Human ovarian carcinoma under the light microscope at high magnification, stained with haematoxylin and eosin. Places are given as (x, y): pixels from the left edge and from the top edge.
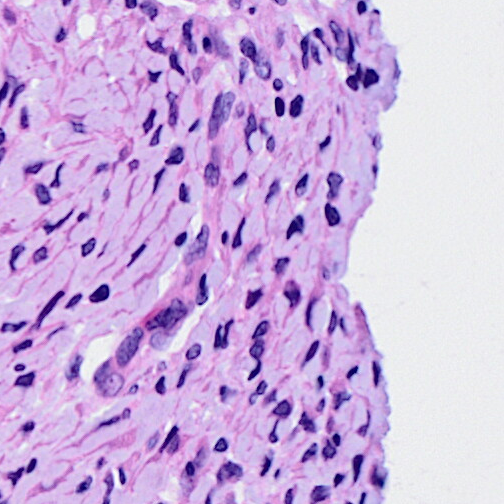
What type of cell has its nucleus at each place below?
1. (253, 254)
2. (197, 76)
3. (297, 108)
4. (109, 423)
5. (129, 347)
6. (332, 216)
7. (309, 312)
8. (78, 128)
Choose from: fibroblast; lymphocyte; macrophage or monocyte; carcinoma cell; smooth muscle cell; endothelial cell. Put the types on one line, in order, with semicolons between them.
fibroblast; fibroblast; lymphocyte; fibroblast; endothelial cell; lymphocyte; fibroblast; fibroblast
